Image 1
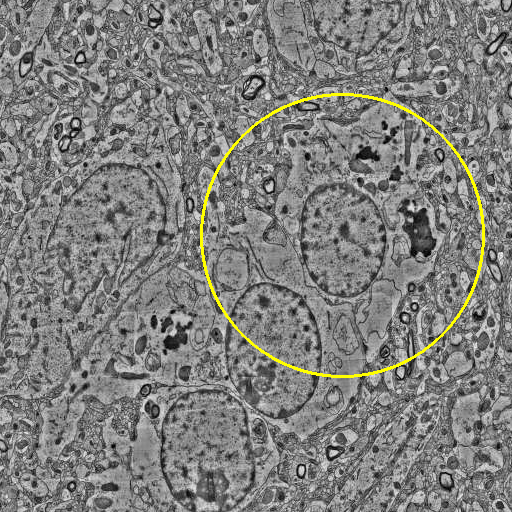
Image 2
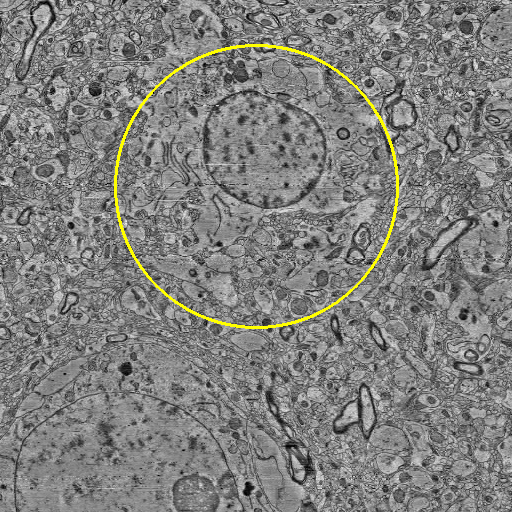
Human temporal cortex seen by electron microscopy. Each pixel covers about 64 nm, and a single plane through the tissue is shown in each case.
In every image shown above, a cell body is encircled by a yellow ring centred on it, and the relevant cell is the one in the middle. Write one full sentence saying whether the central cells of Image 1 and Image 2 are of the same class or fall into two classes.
The cell at the ring's centre in Image 1 and its counterpart in Image 2 are of the same class.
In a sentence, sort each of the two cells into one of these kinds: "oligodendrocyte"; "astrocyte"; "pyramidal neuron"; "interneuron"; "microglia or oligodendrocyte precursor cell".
Each cell at the centre of a ring is an astrocyte.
